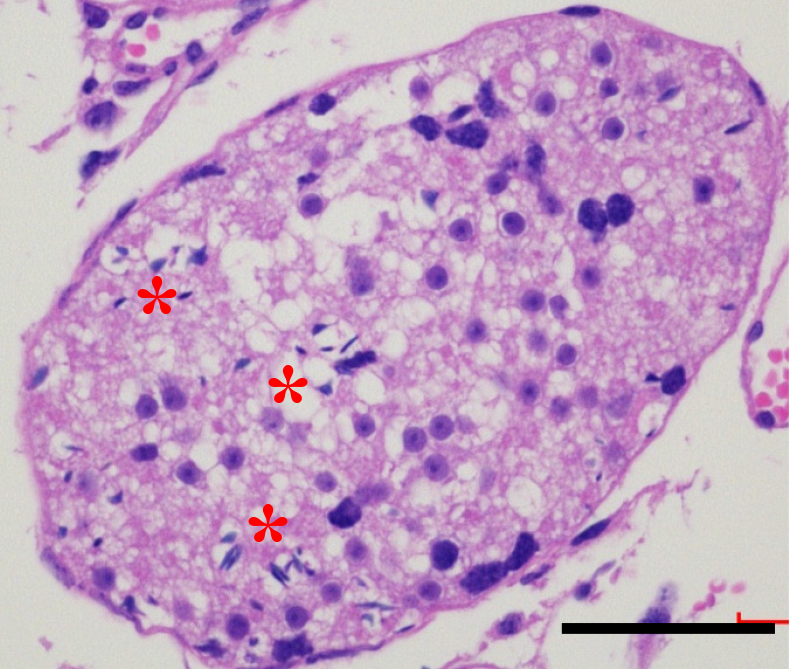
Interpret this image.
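Cross section of a single seminiferous tubule in hematoxylin and eosin. The interior is filled by a pale pink, vacuolated, lace-like network in which round purple nuclei of varying size are scattered. Small elongated, dark blue nuclei resembling immature sperm heads occur in the middle of the tubule. Several larger, densely dark nuclei cluster near the tubule wall. Flattened cells of the surrounding interstitium lie outside the tubule, with red blood cells at the right edge.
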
